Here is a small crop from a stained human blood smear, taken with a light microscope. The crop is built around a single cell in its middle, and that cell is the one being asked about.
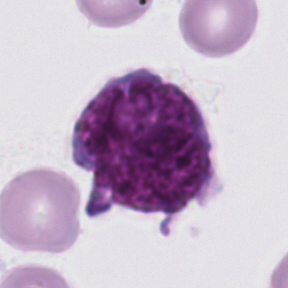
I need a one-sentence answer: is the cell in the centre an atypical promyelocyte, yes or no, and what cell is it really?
Yes, what sits in the middle of the crop is an atypical promyelocyte.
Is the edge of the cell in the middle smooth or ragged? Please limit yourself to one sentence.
Around its circumference, the cell has an uneven edge, ragged or projecting in places.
